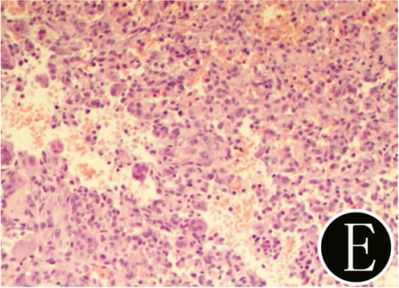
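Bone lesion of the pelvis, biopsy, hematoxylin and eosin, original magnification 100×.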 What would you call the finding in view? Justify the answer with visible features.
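A few large cells with several nuclei lie among densely packed mononuclear cells. Red blood cells fill spaces between the cells. On this evidence: giant-cell tumor.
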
